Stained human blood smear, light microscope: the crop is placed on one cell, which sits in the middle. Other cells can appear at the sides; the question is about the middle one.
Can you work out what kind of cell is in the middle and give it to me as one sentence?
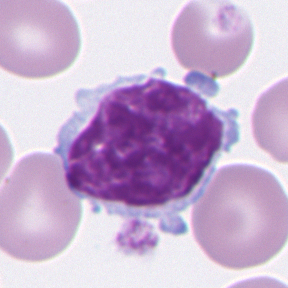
The cell at the heart of this crop is a lymphocyte.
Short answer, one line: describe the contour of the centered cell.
The cell outline lacks smoothness, being ragged or extended into projections.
